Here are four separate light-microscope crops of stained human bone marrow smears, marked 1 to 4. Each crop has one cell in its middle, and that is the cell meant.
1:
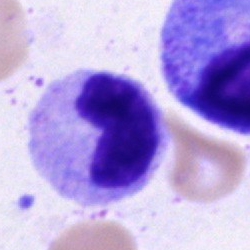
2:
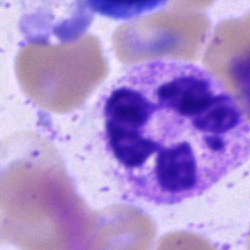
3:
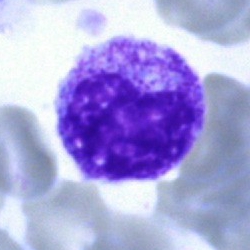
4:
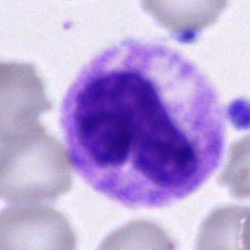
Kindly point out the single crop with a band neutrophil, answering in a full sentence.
Crop 4 is the crop that displays a band neutrophil.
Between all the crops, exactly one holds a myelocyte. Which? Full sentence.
The one showing a myelocyte is the crop labelled 3.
